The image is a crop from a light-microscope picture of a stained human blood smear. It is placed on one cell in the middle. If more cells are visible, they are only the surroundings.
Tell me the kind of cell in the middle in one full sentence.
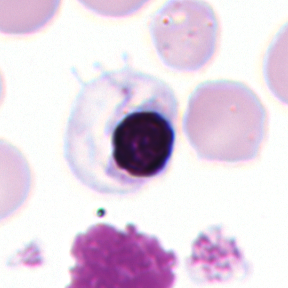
Looking at the middle of the crop, the cell there is a normoblast.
